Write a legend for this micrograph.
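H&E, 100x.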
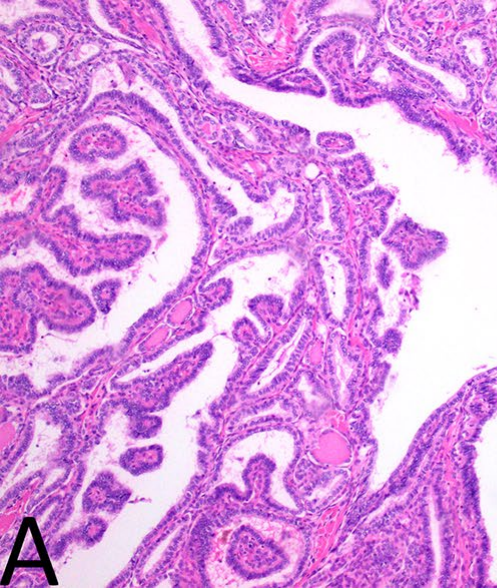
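This low-power view shows papillary carcinoma with both papillary and follicular growth. Branching papillae with slender pink fibrovascular cores, lined by a layer of crowded epithelial cells, project into open spaces. Between them lie small follicles, several filled with homogeneous pink colloid.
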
